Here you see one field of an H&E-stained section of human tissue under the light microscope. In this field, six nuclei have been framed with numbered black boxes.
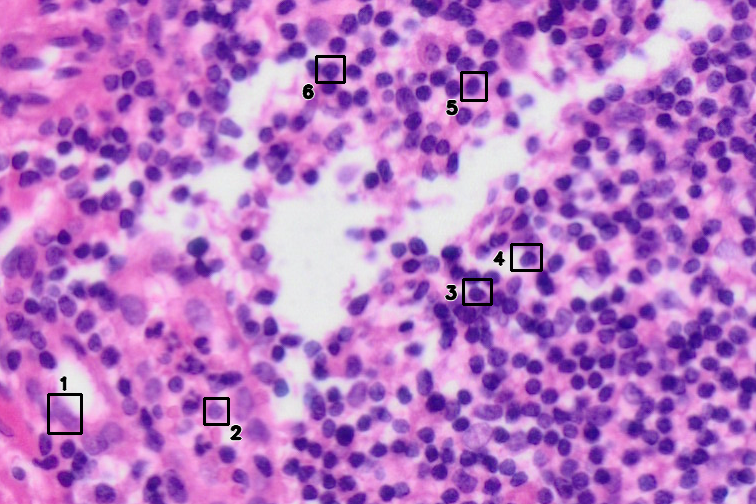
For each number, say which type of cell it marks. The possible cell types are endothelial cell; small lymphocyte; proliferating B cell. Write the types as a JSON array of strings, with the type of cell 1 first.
["endothelial cell", "endothelial cell", "small lymphocyte", "small lymphocyte", "small lymphocyte", "small lymphocyte"]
